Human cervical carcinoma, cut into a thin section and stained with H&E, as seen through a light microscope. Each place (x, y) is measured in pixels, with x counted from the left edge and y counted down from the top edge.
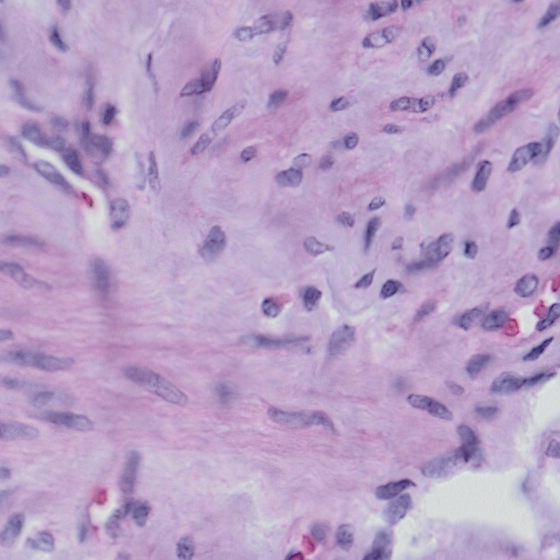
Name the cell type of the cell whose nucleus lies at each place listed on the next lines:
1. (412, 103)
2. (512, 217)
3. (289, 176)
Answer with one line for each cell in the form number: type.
1: smooth muscle cell
2: fibroblast
3: fibroblast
